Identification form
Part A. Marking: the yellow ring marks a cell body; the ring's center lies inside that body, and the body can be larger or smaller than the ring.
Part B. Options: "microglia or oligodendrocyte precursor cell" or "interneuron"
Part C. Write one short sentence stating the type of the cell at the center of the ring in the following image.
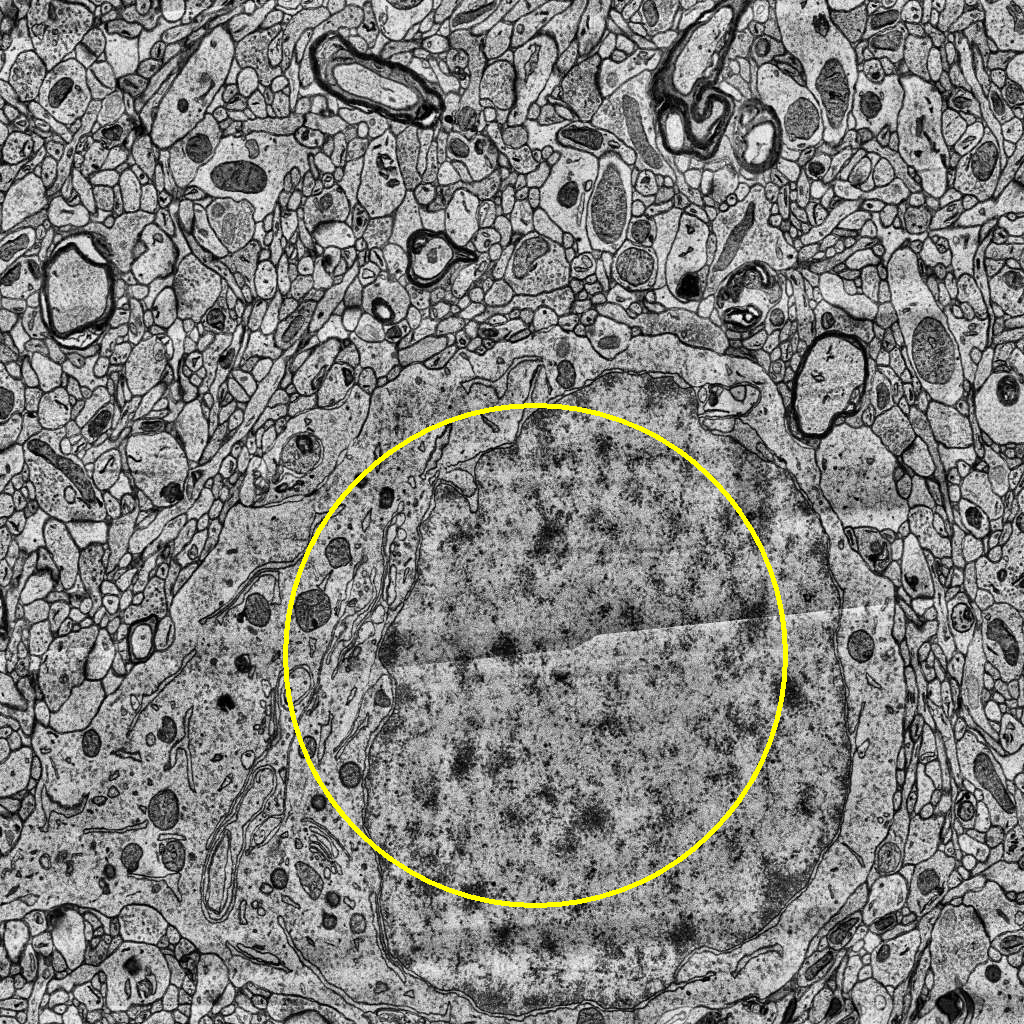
The center of the ring holds an interneuron.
